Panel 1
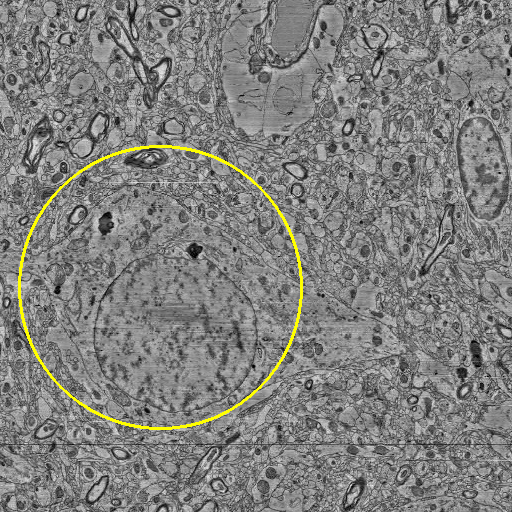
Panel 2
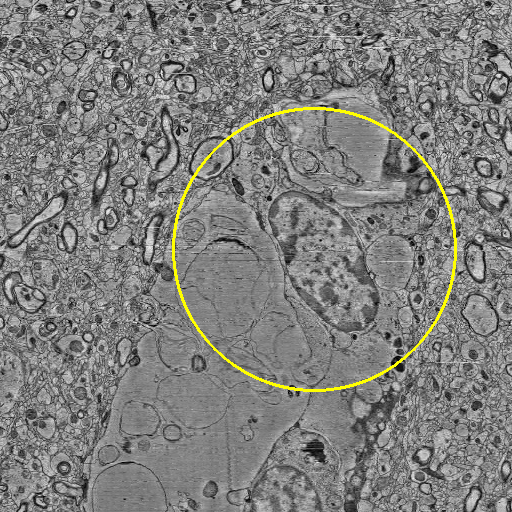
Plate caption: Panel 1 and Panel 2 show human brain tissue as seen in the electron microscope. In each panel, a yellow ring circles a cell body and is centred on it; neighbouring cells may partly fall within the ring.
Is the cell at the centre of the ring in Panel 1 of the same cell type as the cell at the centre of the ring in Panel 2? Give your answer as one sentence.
No, the two cells are of two types.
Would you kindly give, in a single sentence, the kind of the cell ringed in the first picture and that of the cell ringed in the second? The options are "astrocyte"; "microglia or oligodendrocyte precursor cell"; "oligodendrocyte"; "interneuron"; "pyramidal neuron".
The second cell is a microglial cell or oligodendrocyte precursor cell, and the first cell is a pyramidal neuron.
